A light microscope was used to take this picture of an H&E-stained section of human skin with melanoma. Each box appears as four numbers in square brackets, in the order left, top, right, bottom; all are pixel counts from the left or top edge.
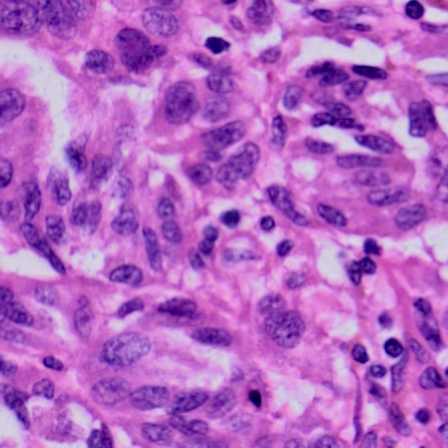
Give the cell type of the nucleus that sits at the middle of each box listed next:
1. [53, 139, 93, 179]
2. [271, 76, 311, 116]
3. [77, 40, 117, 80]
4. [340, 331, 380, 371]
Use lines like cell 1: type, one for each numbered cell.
cell 1: melanoma cell
cell 2: melanoma cell
cell 3: melanoma cell
cell 4: lymphocyte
